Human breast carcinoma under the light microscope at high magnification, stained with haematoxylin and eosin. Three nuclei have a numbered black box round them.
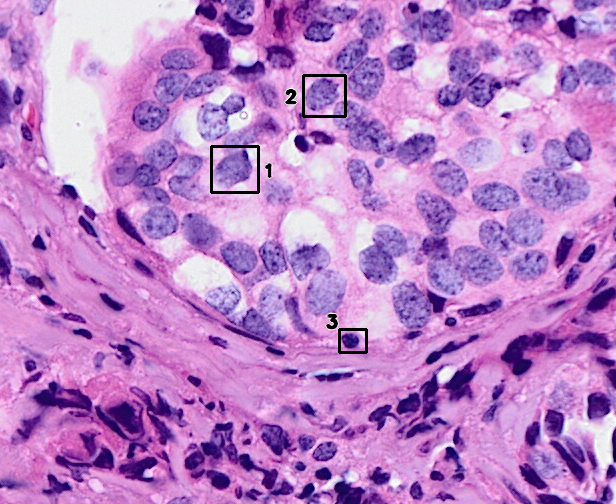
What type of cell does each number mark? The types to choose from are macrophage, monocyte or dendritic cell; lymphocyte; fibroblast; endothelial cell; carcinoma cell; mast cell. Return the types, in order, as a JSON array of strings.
["carcinoma cell", "carcinoma cell", "lymphocyte"]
